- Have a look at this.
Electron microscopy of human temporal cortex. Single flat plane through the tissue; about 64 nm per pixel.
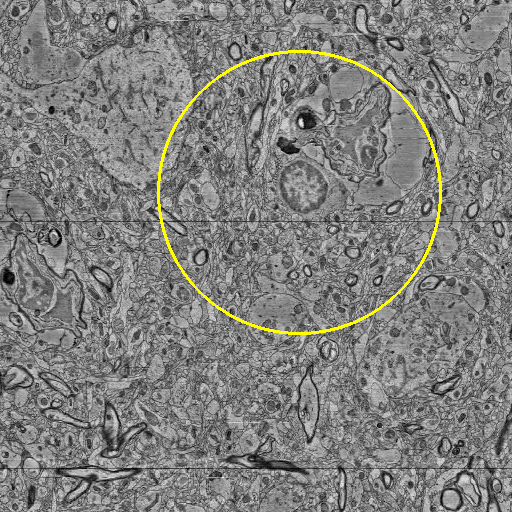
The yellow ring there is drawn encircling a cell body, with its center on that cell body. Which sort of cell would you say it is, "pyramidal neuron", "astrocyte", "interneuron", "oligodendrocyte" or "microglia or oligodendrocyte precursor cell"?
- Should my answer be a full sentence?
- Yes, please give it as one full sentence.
For this picture, an oligodendrocyte is the cell where the yellow ring has its center.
